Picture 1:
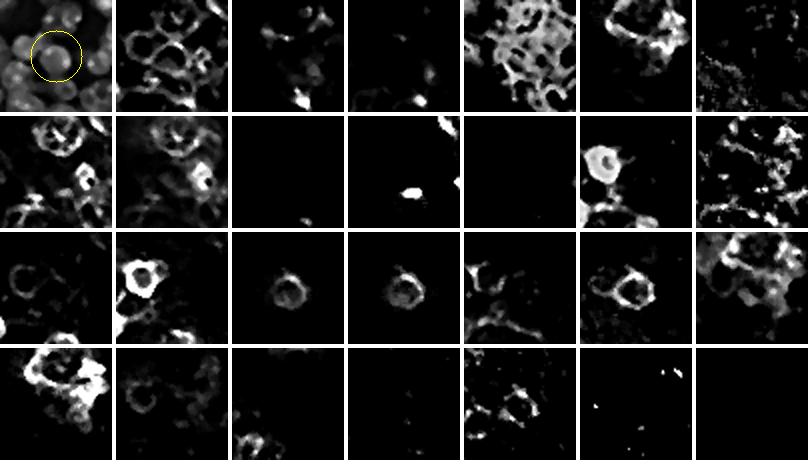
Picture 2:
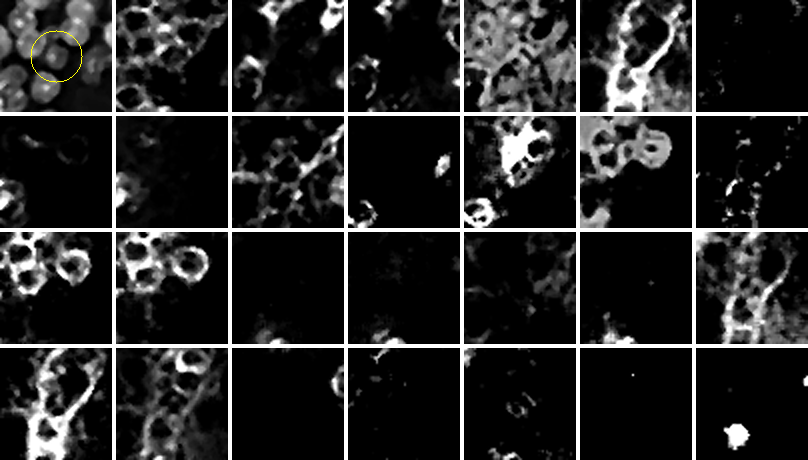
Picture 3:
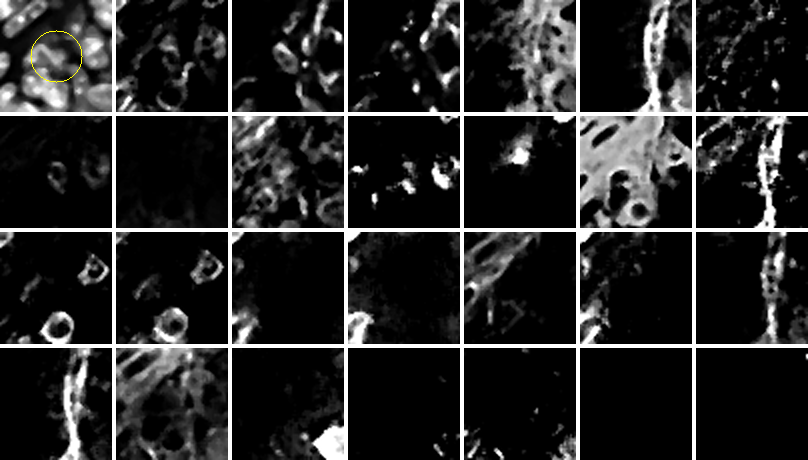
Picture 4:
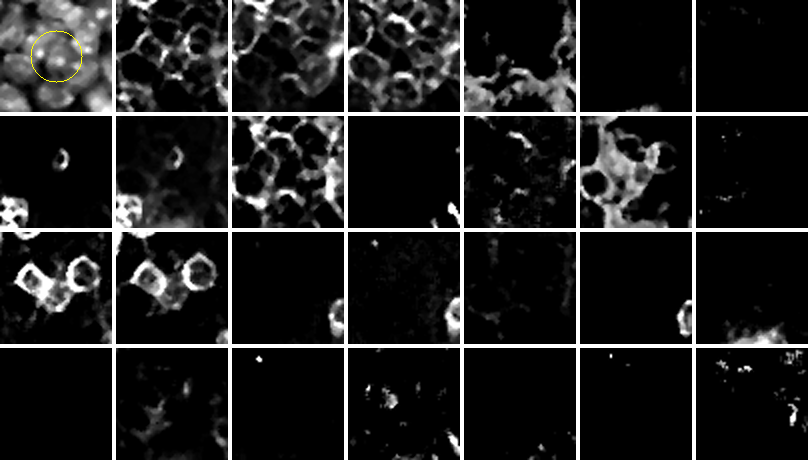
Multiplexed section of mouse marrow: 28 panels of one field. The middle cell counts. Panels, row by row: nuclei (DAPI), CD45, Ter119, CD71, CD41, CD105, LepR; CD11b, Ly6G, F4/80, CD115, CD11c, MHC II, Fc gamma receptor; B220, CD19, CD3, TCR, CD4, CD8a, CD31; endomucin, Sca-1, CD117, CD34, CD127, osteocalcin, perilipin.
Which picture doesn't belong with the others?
Picture 4.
